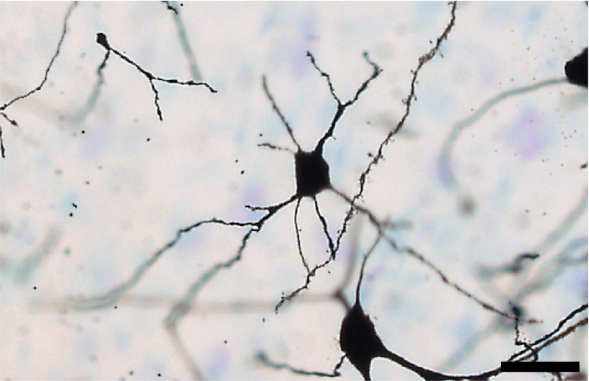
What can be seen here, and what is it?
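About half a dozen thin, mostly smooth dendrites radiate from the soma in different directions and branch sparingly. A larger, darkly impregnated neuronal cell body with a thick proximal process lies below it, another cell body is cut by the upper right edge, and faint out-of-focus processes cross the background.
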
